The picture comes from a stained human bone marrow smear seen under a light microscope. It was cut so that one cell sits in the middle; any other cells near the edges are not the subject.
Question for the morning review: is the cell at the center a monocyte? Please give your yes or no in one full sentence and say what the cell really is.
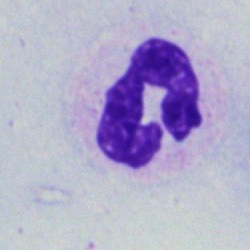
No, calling it a monocyte is wrong; the middle cell is a segmented neutrophil.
